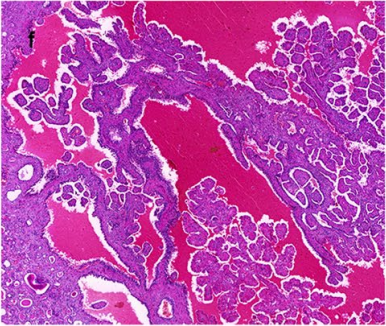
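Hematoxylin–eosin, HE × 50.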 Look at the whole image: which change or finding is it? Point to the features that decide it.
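Large pools of bright red blood fill the spaces between papillary structures.
Conclusion: Hemorrhage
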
